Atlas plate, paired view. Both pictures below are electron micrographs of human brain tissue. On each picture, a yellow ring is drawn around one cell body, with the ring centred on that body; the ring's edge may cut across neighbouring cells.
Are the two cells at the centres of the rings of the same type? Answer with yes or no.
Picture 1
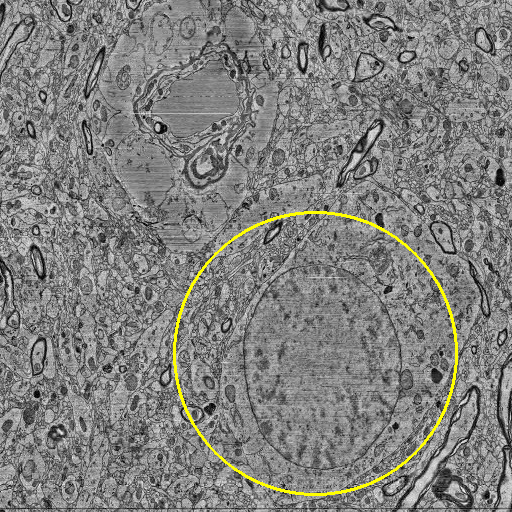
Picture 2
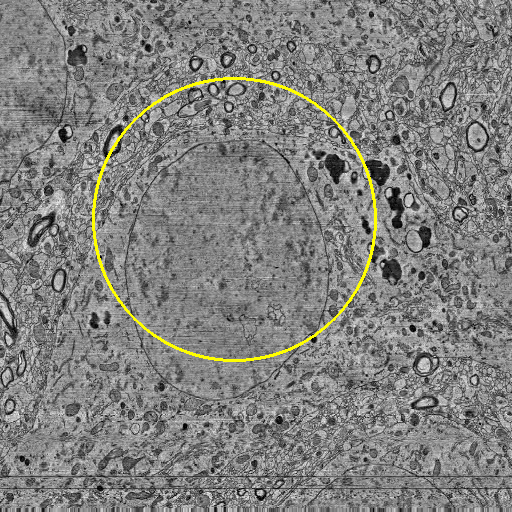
yes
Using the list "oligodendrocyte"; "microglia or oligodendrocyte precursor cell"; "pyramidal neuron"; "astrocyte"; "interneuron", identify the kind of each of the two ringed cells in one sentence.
Both rings mark a pyramidal neuron, one in each picture.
